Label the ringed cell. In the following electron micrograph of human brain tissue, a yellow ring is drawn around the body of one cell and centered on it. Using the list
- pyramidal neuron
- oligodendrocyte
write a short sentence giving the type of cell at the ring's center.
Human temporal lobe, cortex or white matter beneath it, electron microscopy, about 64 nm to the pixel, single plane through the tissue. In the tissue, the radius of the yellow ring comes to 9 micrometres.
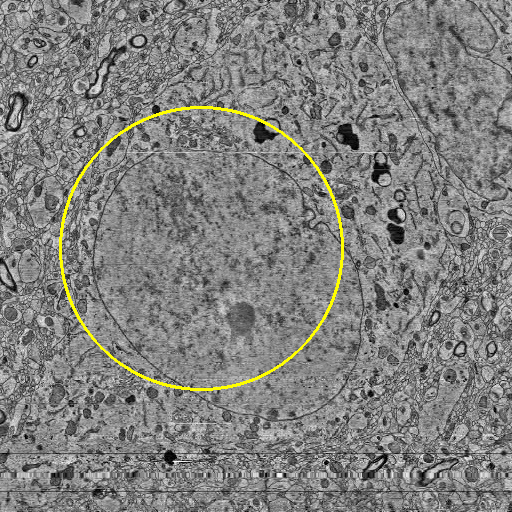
The cell body at the ring's center is that of a pyramidal neuron.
